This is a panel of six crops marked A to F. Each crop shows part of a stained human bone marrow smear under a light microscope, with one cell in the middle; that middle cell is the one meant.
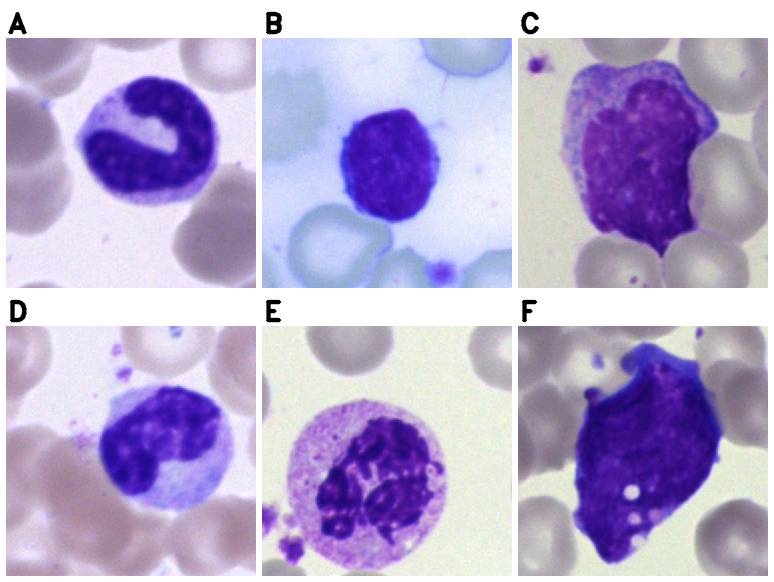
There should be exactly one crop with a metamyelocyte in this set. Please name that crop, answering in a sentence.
The crop carrying a metamyelocyte at the center is crop D.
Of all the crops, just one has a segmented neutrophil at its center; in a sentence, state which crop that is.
It is crop E that shows a segmented neutrophil.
